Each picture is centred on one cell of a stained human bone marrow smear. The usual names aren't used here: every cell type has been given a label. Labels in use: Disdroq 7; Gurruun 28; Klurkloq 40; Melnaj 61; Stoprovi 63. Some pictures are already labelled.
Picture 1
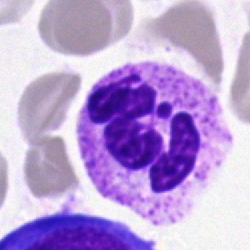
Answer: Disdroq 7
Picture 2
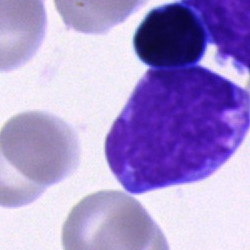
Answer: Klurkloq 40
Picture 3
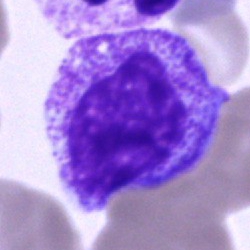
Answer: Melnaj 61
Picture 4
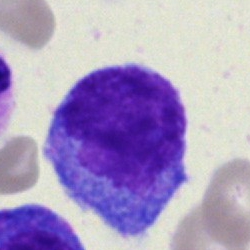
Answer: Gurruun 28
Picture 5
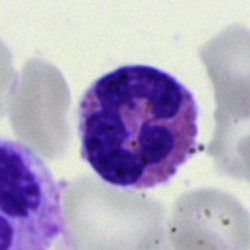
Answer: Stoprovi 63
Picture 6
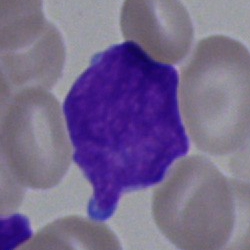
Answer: Klurkloq 40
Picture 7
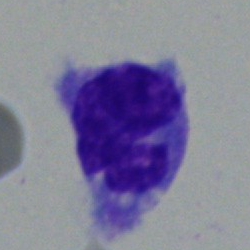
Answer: Gurruun 28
